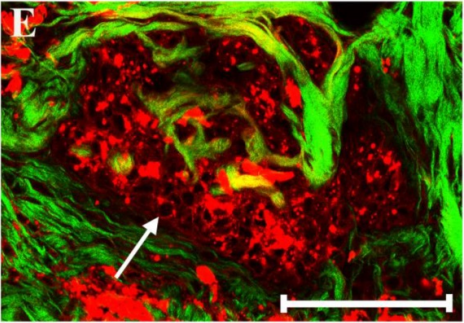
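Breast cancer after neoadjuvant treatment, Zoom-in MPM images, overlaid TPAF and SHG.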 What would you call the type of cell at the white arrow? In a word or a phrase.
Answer: Small nest of malignant cells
